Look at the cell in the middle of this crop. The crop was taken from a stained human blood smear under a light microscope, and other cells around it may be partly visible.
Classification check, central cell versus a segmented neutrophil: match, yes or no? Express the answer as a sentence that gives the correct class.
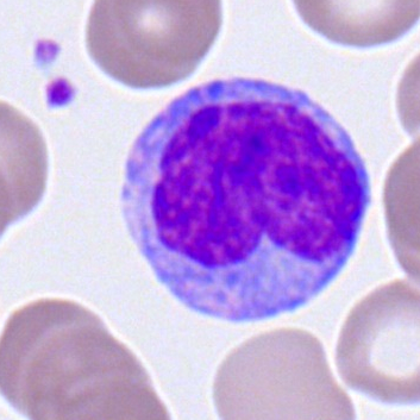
No, what the centre of the crop shows is a monocyte, not a segmented neutrophil.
